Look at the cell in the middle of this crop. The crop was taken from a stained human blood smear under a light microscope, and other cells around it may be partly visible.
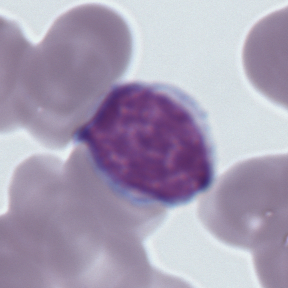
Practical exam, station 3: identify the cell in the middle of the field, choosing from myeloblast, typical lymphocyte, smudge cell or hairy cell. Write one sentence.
The middle of this crop is occupied by a typical lymphocyte.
